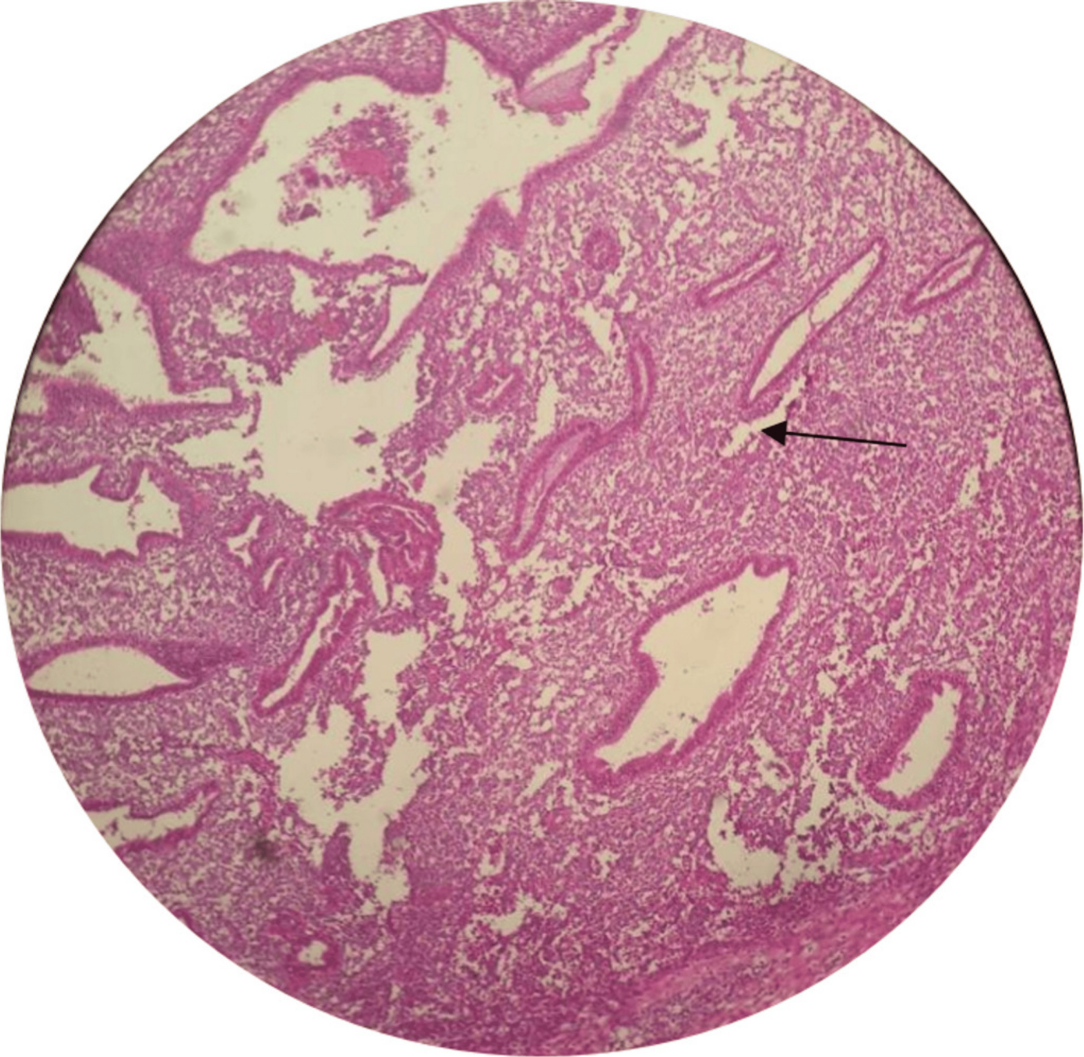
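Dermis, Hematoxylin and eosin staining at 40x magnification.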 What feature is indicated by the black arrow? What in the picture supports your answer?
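Elongated and irregular tubular spaces are lined by a single layer of columnar epithelium. The spaces lie within a dense, highly cellular stroma of small, closely packed cells.
Conclusion: endometrial glands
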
